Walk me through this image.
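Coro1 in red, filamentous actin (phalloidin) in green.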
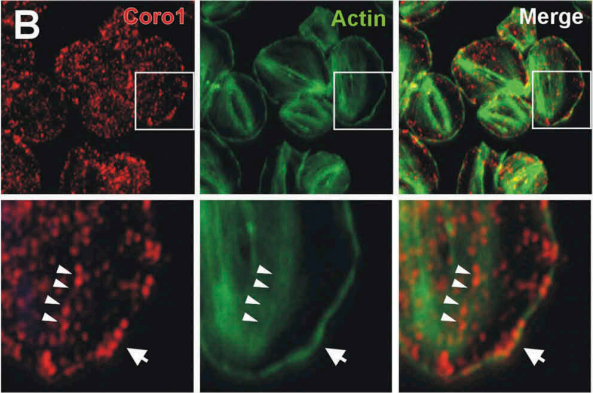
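These are spread platelets, flattened into broad rounded sheets with a sharp green rim at their edge and straight green fibre bundles running across their interior. The red signal is a dense scatter of fine dots over the whole cell, crowded at the margin and lined up in rows along the fibres.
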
